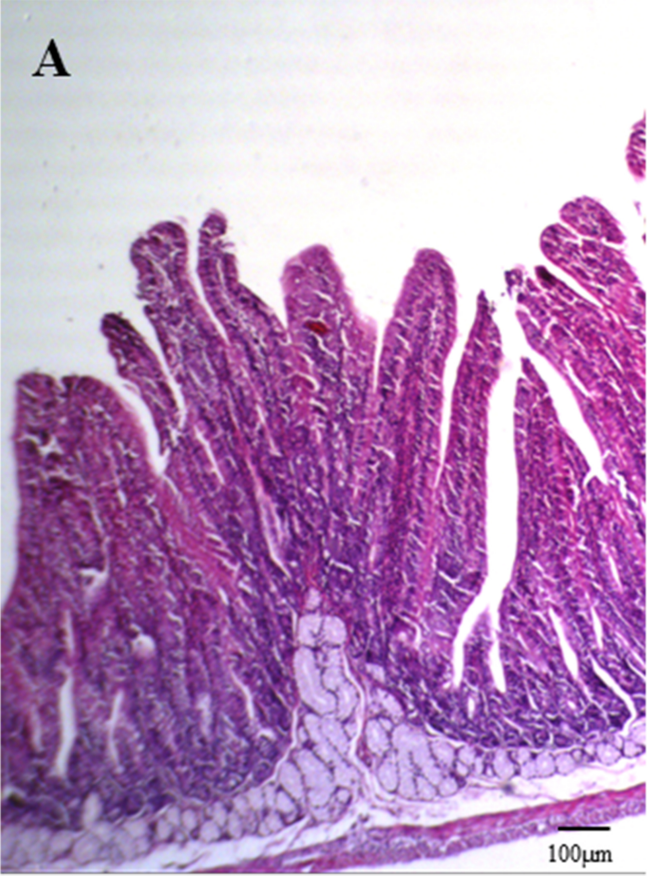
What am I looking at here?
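This section of the duodenal wall shows closely packed, finger-like villi that rise from the mucosa toward the lumen. The villi are covered by a purple-staining columnar epithelium around narrow connective tissue cores. At their bases lie the crypts, and beneath them the submucosa is filled with lobules of pale, foamy mucous glands. A thin pink band of smooth muscle forms the outer wall.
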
